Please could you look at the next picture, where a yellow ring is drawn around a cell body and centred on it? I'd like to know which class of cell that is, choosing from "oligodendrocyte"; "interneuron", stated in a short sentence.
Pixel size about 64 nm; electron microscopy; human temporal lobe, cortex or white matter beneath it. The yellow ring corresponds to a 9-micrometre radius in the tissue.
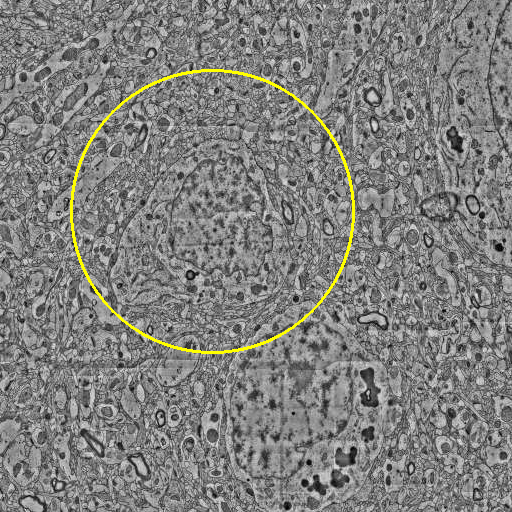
The ring's centre lies on an interneuron.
